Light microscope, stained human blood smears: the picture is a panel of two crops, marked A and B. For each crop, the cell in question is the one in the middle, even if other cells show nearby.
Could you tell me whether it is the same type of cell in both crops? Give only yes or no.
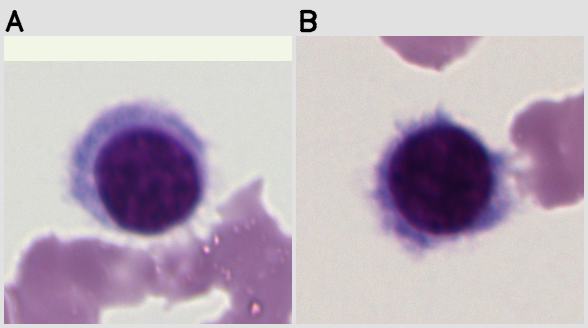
yes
